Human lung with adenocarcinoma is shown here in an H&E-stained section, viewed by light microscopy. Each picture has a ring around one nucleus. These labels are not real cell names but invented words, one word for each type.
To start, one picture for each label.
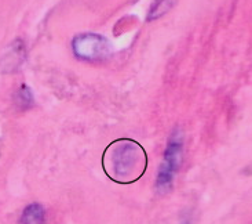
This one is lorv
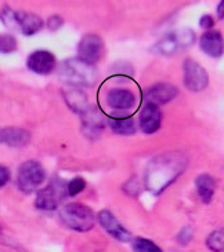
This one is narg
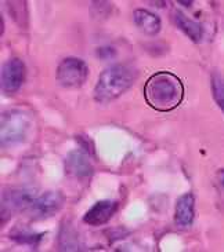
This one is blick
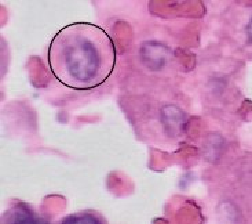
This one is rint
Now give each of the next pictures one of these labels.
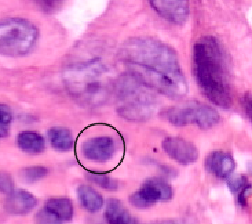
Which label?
narg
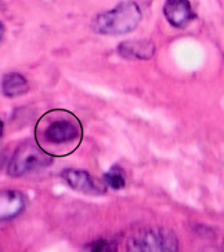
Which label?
blick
